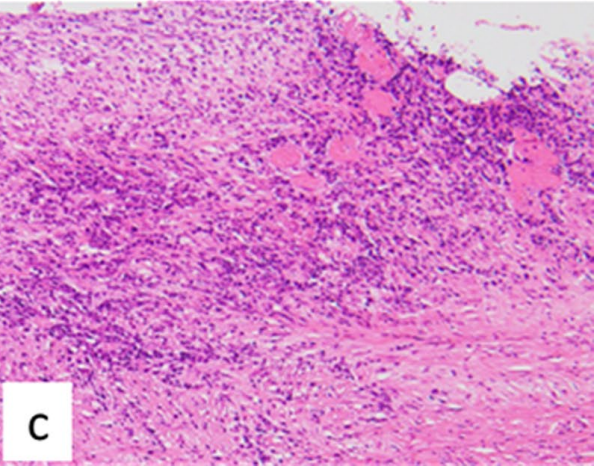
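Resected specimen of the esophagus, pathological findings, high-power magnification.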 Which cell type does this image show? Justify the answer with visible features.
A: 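Many small cells with dark purple round nuclei and little cytoplasm crowd the upper part of the field. These small dark cells are scattered through pink fibrous tissue.
Inflammatory cells.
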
